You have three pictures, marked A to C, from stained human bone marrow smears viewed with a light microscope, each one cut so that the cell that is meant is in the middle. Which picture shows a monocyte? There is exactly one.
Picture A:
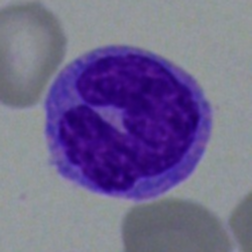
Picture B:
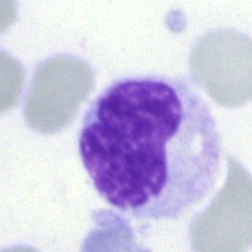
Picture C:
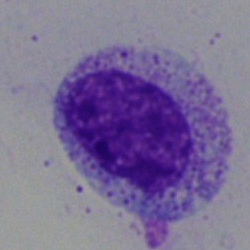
A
